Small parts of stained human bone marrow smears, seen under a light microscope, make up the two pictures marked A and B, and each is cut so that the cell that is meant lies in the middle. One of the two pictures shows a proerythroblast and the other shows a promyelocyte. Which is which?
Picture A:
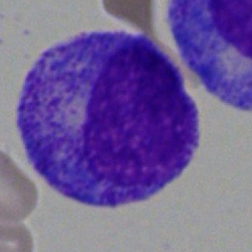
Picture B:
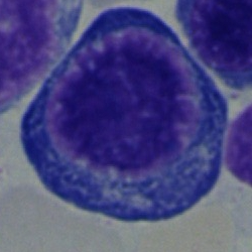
A: promyelocyte
B: proerythroblast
